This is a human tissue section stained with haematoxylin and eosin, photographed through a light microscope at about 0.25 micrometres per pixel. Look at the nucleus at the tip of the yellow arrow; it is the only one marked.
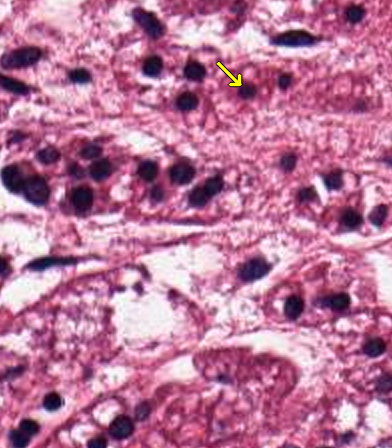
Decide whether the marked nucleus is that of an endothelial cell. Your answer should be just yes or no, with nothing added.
no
